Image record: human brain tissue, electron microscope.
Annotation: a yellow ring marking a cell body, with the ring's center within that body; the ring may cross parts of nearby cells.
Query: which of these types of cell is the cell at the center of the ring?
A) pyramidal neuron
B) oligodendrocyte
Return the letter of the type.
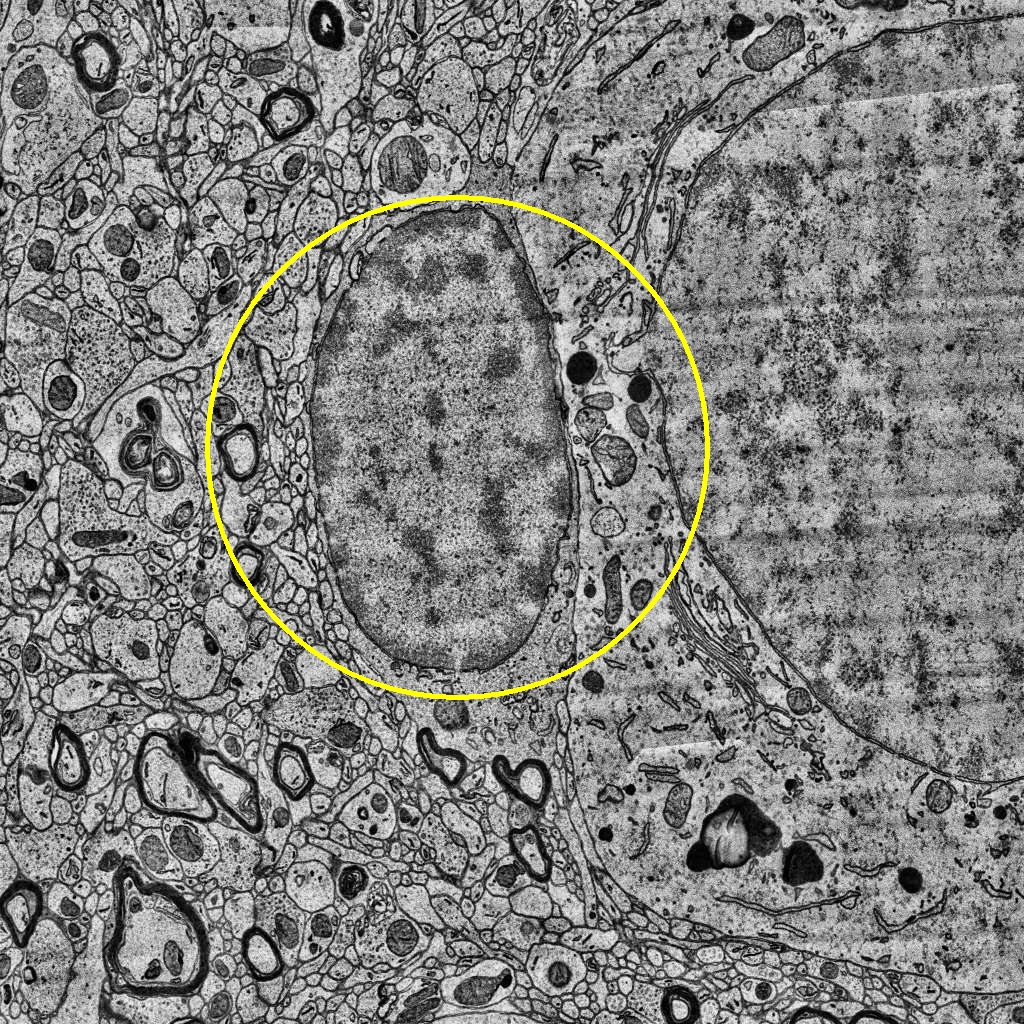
B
